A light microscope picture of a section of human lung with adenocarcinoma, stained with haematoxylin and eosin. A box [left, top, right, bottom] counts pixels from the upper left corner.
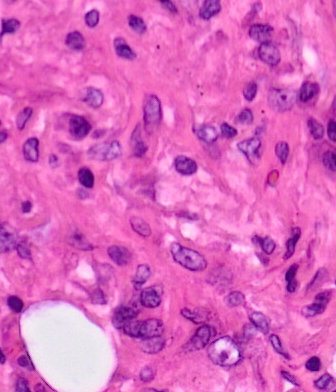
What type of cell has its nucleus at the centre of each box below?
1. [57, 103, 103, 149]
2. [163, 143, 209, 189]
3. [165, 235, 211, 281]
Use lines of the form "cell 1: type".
cell 1: plasma cell
cell 2: lymphocyte
cell 3: macrophage or monocyte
